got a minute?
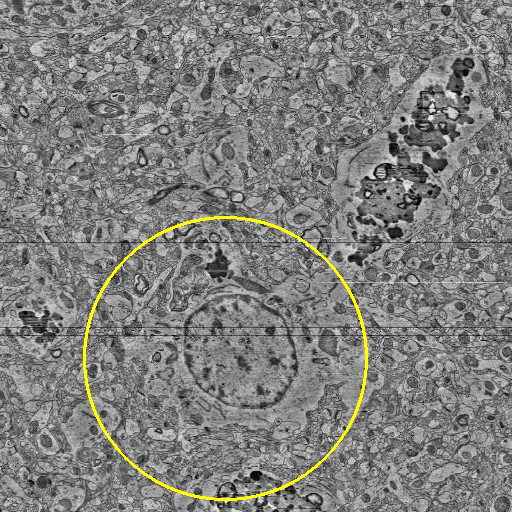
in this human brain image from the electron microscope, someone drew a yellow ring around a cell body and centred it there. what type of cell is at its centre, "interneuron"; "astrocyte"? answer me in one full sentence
It's an astrocyte at the middle of that yellow ring in the shot.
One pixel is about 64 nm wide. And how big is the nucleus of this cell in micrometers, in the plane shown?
About 7 micrometres across, as seen in this plane.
